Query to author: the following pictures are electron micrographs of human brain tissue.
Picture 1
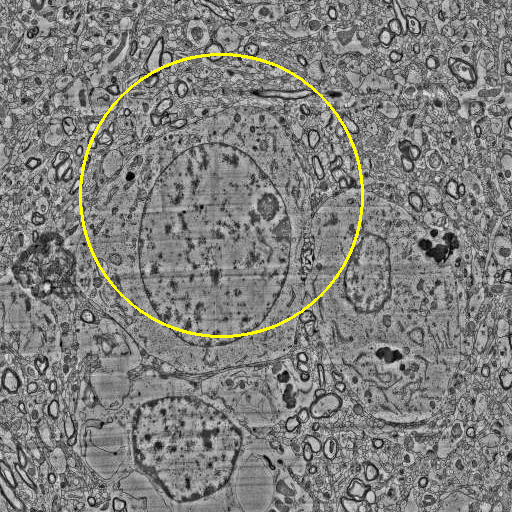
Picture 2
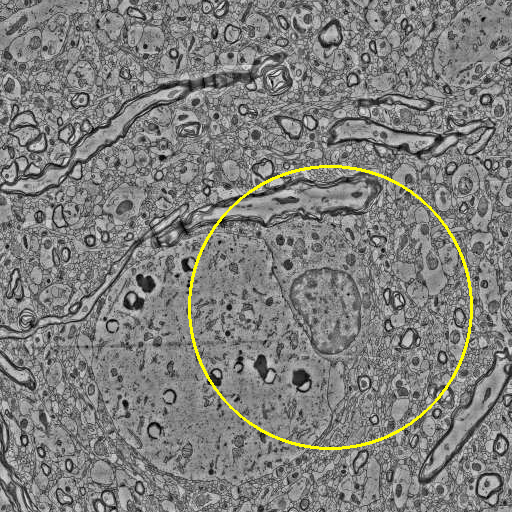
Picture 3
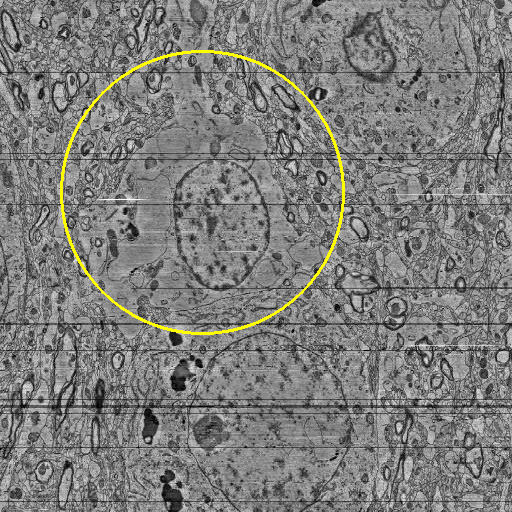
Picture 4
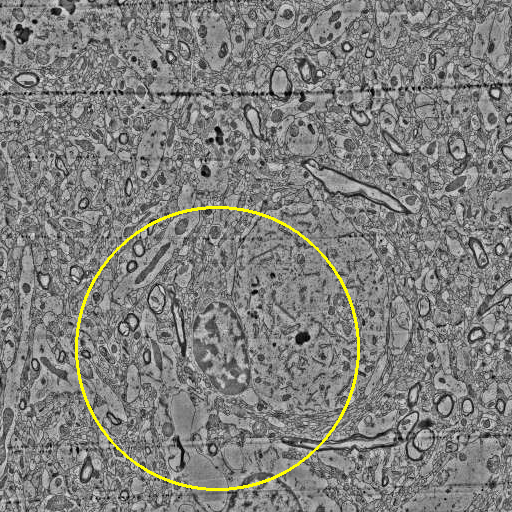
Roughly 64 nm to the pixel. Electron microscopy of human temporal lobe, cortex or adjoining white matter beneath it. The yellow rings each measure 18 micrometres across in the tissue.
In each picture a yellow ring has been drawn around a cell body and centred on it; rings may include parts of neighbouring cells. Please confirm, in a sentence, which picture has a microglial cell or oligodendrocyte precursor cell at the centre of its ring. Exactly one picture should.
Picture 4 has it at the centre of its ring.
